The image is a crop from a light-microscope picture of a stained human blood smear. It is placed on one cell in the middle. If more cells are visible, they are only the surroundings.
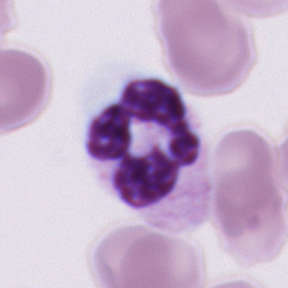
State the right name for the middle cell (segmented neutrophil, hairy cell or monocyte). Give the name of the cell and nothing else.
segmented neutrophil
